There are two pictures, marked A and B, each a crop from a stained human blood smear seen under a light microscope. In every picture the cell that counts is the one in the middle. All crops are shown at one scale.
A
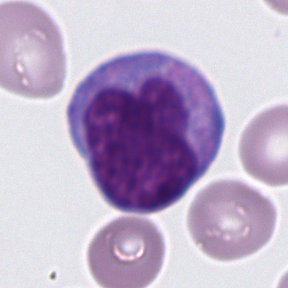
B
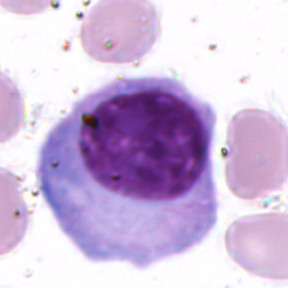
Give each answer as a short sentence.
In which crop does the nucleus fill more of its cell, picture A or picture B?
In picture A the nucleus takes up the larger part of its cell.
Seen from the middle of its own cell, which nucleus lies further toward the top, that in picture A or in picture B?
The nucleus in picture B lies further toward the top of its cell.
